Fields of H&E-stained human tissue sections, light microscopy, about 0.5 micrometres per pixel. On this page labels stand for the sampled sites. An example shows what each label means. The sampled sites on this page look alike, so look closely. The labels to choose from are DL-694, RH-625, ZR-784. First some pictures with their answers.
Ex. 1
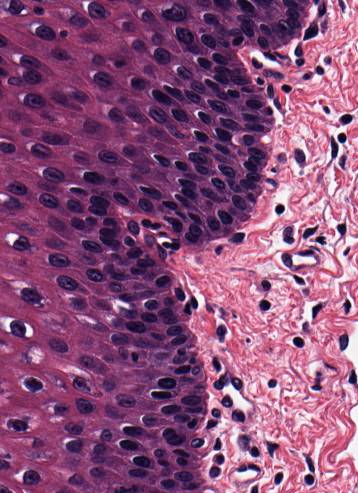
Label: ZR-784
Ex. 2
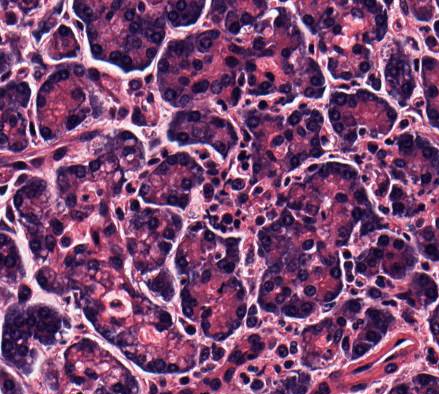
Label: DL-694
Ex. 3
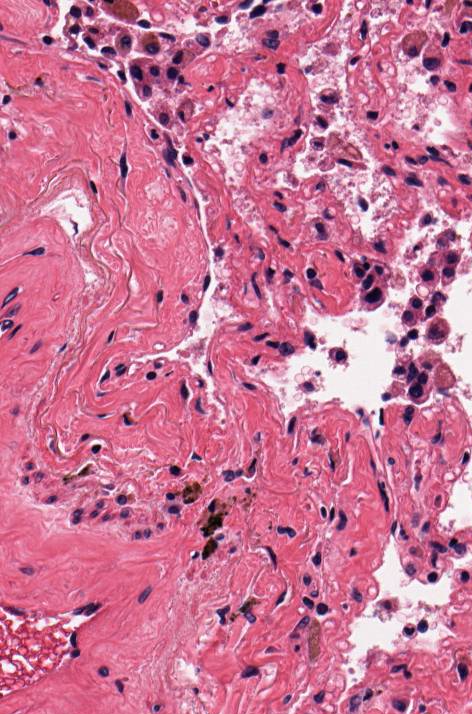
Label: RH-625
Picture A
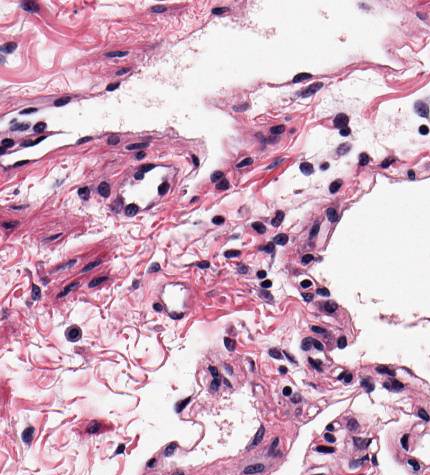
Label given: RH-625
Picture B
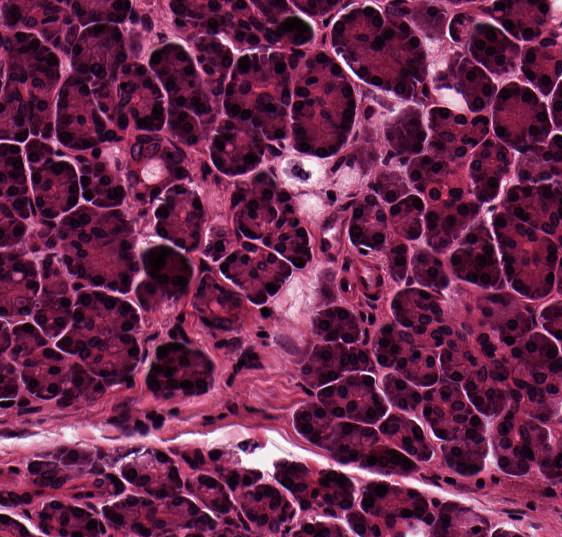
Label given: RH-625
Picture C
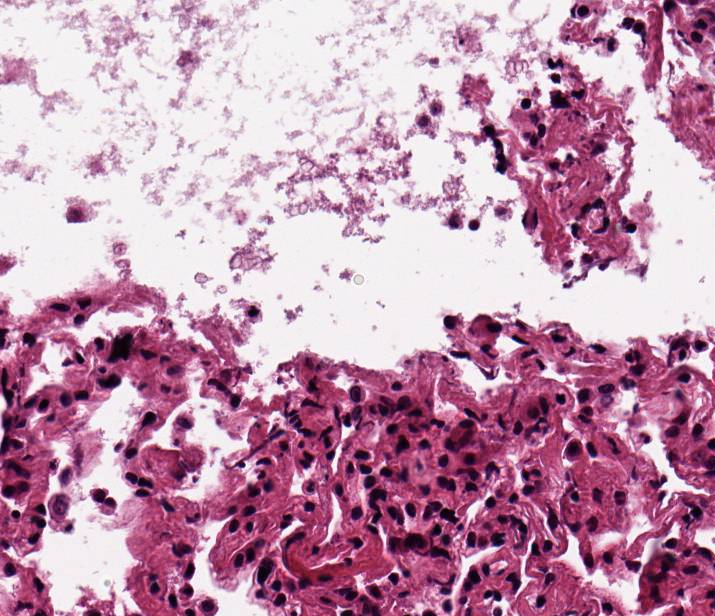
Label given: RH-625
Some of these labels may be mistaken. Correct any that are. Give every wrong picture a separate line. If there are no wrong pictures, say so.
B: DL-694, not RH-625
